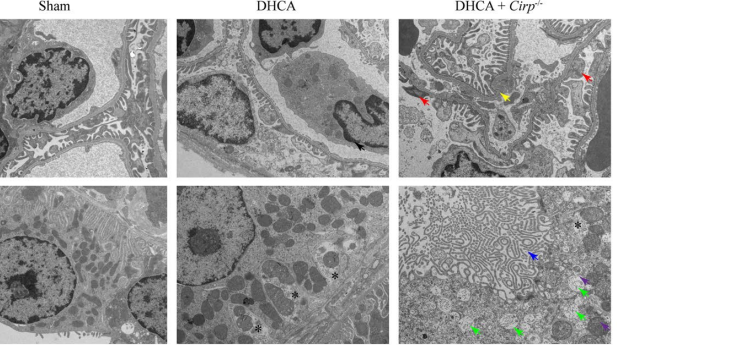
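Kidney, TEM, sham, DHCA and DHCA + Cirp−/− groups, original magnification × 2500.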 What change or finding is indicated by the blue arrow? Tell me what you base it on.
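The blue arrow points at a dense mass of tangled, looping finger-like profiles at the tubule cell surface.
Conclusion: brush border structure disorder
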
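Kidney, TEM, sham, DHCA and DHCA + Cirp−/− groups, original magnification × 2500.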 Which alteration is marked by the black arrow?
karyopyknosis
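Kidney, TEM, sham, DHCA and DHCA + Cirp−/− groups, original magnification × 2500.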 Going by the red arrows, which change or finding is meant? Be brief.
Partial fusion of foot process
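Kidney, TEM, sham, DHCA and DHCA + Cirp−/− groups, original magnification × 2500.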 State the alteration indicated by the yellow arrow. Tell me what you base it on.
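Thickening of the glomerular endothelial basement membrane. The yellow arrow points at a dark band lying between capillary lumen and epithelial processes in a glomerular image.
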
